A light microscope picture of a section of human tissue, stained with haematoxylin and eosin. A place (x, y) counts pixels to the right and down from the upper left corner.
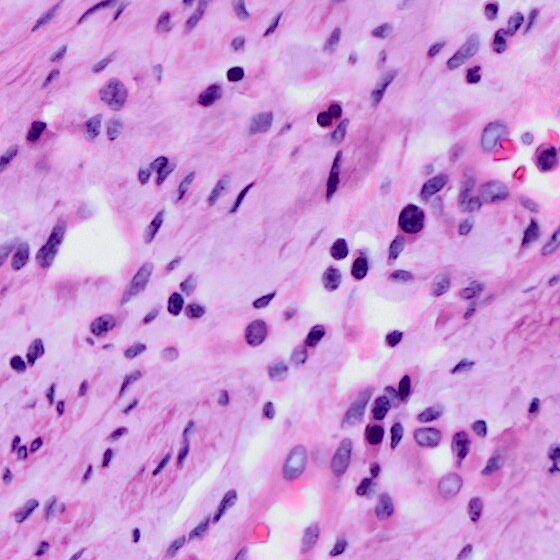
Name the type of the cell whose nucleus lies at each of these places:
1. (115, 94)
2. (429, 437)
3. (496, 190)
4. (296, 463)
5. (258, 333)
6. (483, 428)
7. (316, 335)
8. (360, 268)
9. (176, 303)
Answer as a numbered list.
1. macrophage or monocyte
2. endothelial cell
3. endothelial cell
4. endothelial cell
5. macrophage or monocyte
6. lymphocyte
7. lymphocyte
8. lymphocyte
9. lymphocyte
